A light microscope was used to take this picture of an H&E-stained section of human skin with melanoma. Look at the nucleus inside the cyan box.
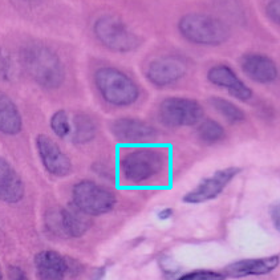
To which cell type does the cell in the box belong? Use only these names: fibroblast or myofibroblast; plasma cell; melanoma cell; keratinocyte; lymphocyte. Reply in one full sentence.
As for its identity, the cell in the box is a keratinocyte.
